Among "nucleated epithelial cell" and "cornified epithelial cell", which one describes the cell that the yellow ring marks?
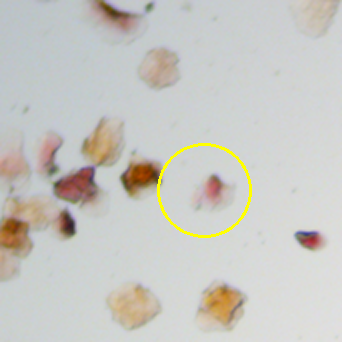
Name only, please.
nucleated epithelial cell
